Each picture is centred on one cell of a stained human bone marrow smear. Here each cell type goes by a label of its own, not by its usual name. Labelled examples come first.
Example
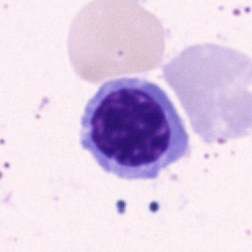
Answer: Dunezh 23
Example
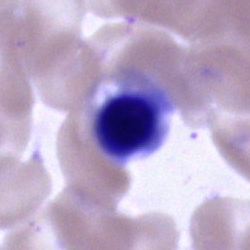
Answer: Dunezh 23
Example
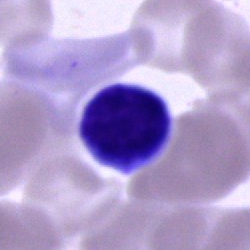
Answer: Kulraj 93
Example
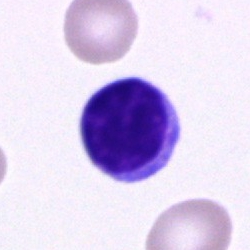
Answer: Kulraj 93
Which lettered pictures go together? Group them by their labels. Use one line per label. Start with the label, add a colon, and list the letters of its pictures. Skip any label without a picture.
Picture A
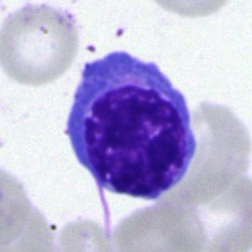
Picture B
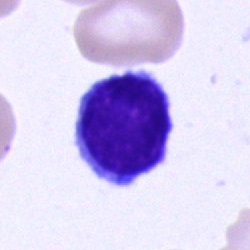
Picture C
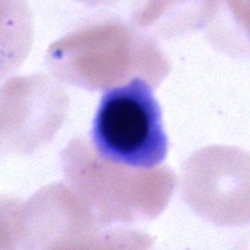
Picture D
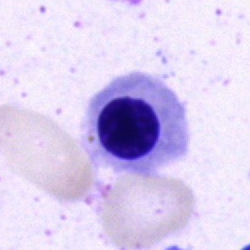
Dunezh 23: A, C, D
Kulraj 93: B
